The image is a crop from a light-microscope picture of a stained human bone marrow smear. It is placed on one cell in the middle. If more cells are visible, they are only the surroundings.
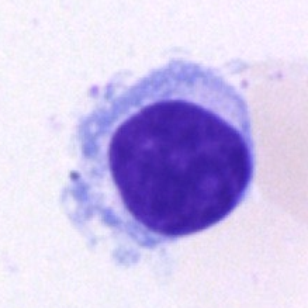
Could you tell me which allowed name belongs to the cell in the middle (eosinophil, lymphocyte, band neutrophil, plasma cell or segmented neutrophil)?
lymphocyte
